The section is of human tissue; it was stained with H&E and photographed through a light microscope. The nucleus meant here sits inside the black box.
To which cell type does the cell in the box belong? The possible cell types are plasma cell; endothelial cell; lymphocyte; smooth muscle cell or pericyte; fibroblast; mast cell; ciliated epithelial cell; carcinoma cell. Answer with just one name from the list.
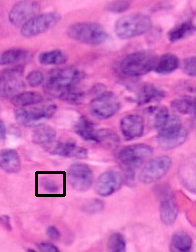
mast cell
